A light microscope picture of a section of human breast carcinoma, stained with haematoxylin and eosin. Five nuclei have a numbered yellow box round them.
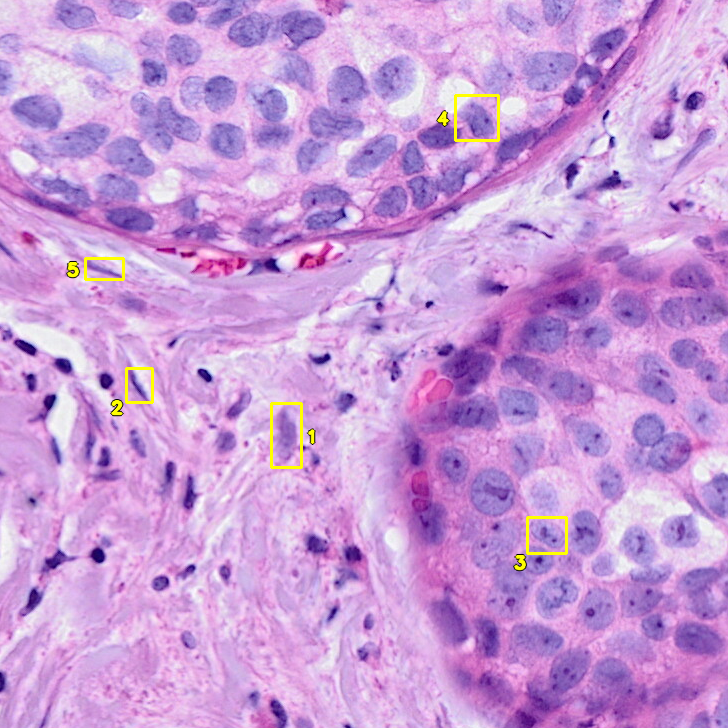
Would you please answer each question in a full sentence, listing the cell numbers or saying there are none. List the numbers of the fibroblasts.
Cells numbered 1, 2 and 5 belong to the group of fibroblasts.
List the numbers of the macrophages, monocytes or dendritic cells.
The numbered set holds no macrophages, monocytes or dendritic cells whatsoever.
